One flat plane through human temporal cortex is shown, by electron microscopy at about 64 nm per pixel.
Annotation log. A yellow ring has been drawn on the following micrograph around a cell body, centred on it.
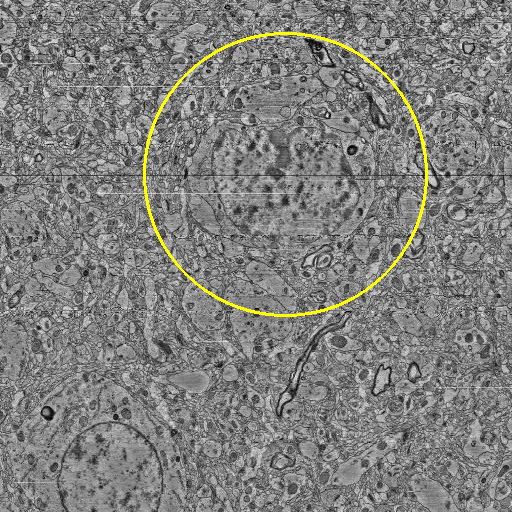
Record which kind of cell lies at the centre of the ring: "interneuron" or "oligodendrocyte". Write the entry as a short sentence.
The cell the ring is centred on is an interneuron.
